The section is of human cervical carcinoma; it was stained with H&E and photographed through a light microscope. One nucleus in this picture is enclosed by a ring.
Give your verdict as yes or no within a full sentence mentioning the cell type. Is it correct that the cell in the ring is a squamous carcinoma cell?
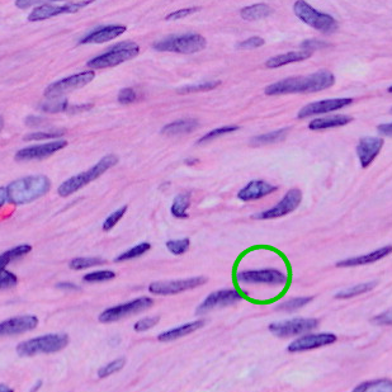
No, on this slide the cell in the ring is a fibroblast, not a squamous carcinoma cell.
